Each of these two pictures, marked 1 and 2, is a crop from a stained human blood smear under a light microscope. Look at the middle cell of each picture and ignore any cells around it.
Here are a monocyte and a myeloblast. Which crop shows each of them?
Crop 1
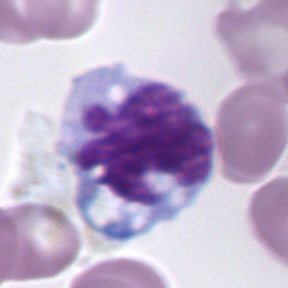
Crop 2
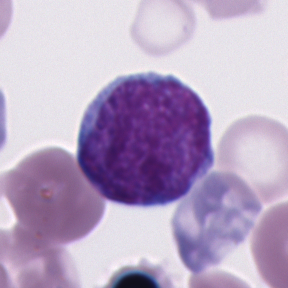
1: monocyte
2: myeloblast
